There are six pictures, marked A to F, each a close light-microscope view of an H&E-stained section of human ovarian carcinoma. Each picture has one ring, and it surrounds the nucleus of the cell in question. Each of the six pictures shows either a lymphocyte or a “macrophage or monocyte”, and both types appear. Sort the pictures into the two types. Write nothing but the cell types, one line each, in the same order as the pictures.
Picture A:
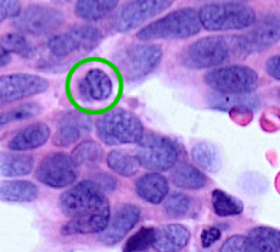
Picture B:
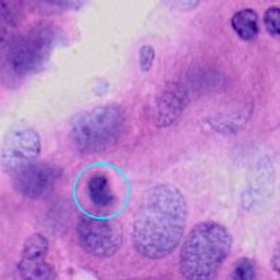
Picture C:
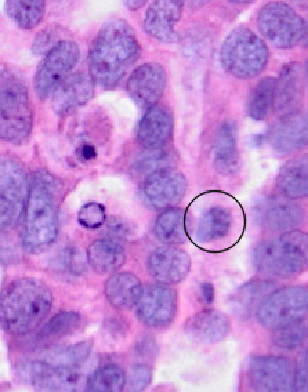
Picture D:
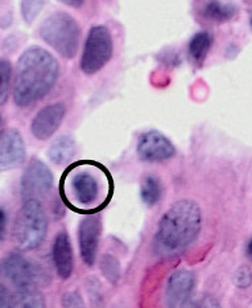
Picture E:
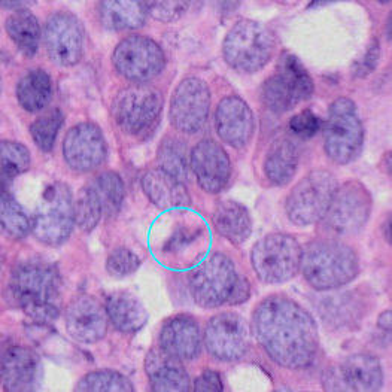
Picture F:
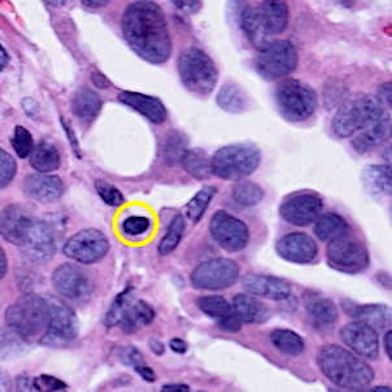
macrophage or monocyte
lymphocyte
macrophage or monocyte
lymphocyte
macrophage or monocyte
lymphocyte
